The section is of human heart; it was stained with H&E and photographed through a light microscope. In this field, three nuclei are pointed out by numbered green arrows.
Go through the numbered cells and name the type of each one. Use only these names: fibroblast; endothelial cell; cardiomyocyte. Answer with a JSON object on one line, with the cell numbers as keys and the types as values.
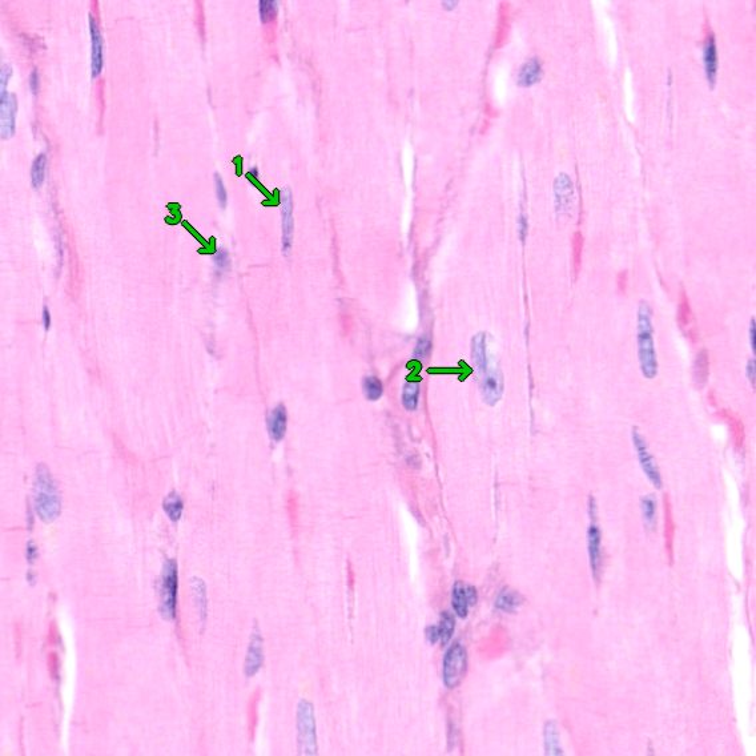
{"1": "cardiomyocyte", "2": "cardiomyocyte", "3": "fibroblast"}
